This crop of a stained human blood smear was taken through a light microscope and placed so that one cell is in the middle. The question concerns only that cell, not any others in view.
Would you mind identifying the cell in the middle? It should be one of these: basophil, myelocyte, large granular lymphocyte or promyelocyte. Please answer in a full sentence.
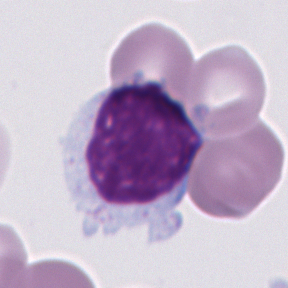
This crop has a large granular lymphocyte at its centre.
